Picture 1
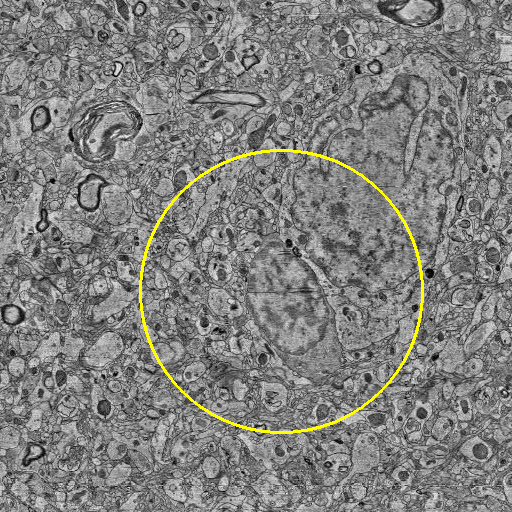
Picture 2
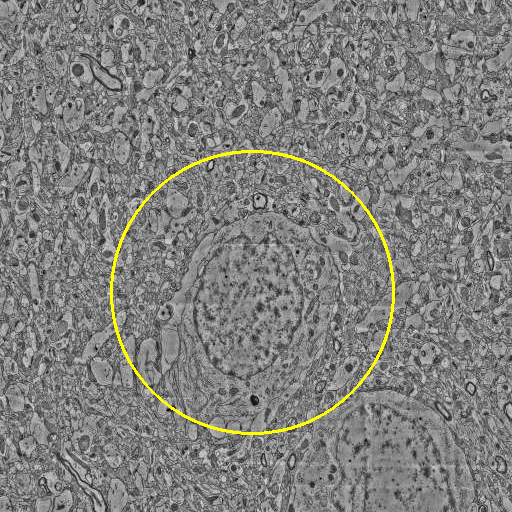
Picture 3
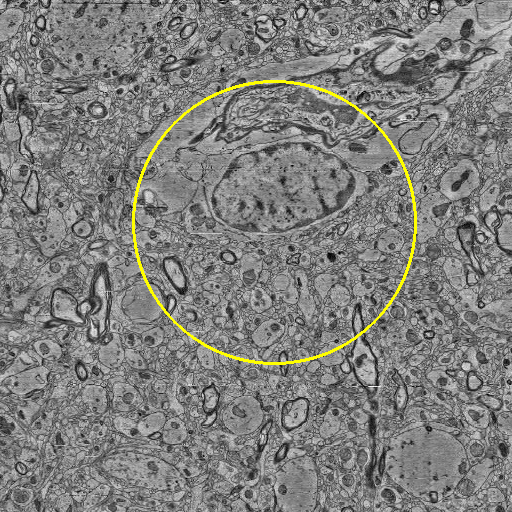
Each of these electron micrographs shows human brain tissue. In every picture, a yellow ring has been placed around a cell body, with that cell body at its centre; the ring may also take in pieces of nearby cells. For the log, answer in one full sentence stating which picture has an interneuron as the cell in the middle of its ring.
In picture 2, the cell at the centre of the yellow ring is the requested one.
